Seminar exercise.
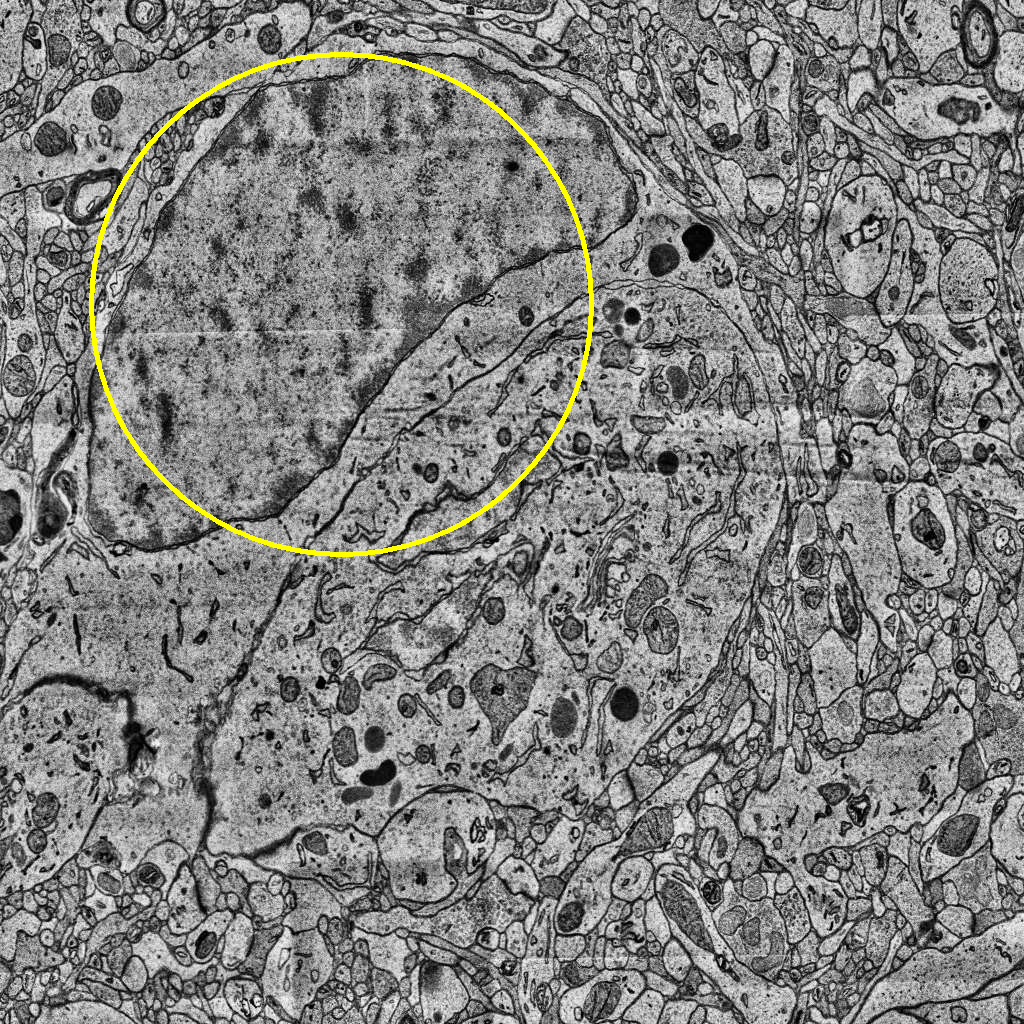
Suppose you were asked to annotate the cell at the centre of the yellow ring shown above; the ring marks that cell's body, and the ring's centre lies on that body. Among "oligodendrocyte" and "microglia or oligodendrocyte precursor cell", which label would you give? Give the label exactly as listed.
microglia or oligodendrocyte precursor cell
